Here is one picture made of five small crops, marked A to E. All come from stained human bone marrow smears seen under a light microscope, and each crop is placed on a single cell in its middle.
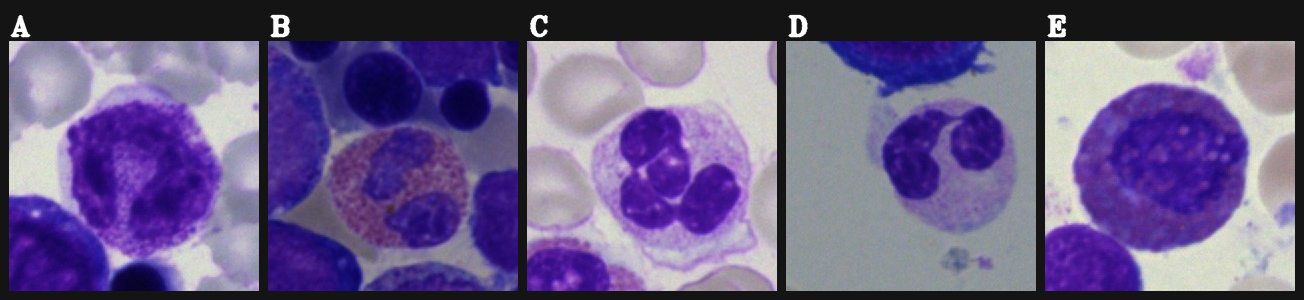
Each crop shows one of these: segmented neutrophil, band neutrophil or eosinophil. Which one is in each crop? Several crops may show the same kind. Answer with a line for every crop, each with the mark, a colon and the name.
A: band neutrophil
B: eosinophil
C: segmented neutrophil
D: segmented neutrophil
E: eosinophil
